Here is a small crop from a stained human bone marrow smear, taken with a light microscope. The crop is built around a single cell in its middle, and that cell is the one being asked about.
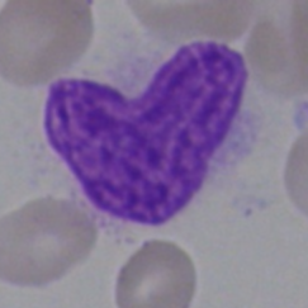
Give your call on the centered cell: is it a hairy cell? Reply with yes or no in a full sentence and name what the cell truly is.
No, the cell centered in the crop is a monocyte, not a hairy cell.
